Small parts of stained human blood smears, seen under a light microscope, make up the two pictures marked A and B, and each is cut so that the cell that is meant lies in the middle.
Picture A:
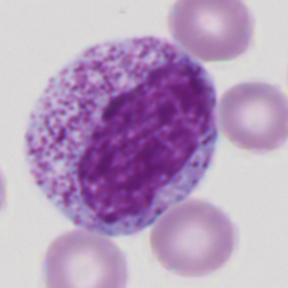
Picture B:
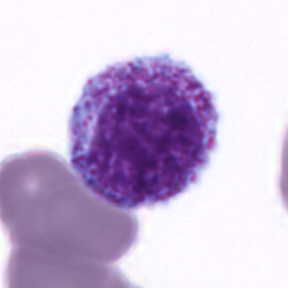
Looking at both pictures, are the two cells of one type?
yes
